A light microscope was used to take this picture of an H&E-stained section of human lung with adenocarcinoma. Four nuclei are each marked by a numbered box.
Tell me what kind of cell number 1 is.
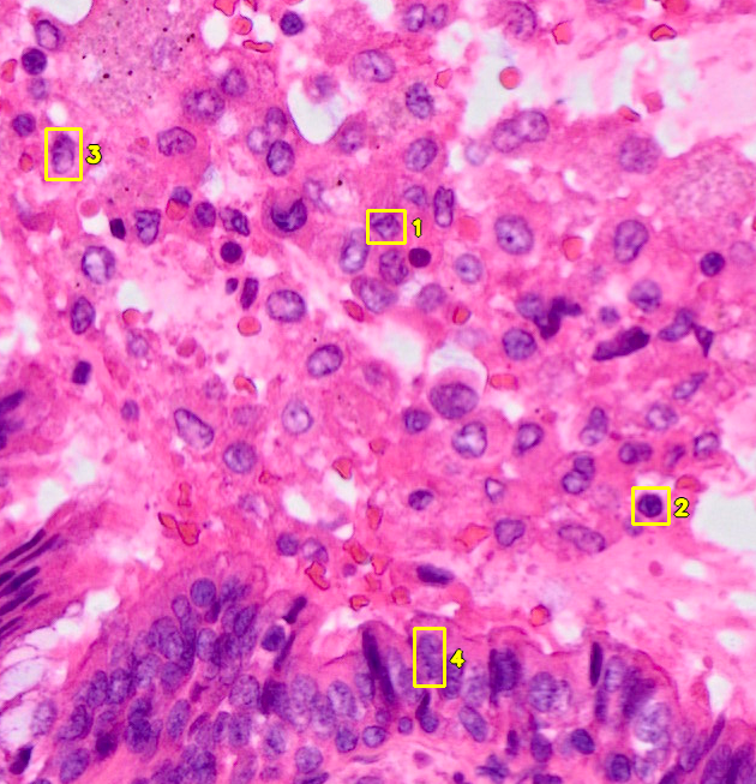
macrophage or monocyte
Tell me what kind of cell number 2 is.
lymphocyte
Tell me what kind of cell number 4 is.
ciliated epithelial cell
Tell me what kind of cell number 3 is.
macrophage or monocyte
